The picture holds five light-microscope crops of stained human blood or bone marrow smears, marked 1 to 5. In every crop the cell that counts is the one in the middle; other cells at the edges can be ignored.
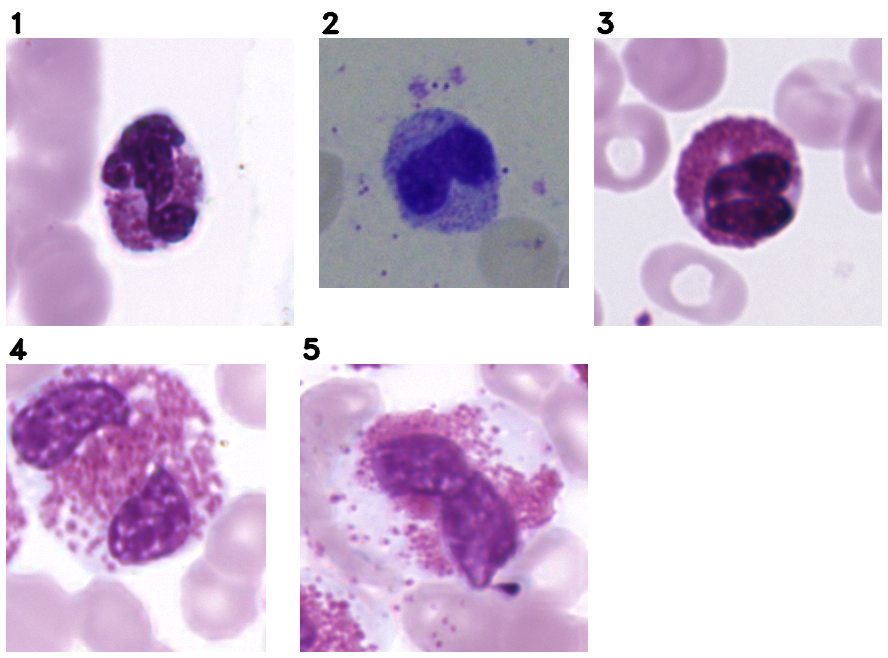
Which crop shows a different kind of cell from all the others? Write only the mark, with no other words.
2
